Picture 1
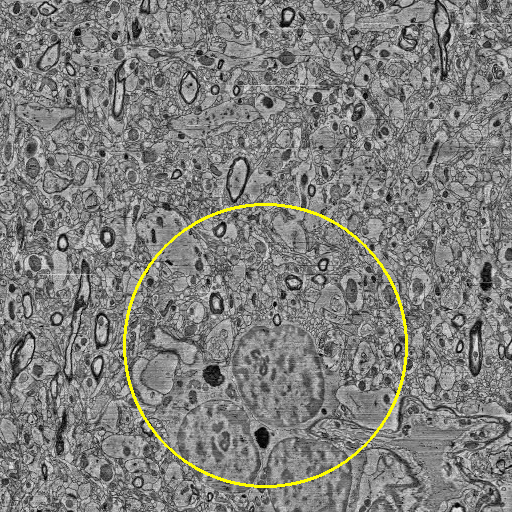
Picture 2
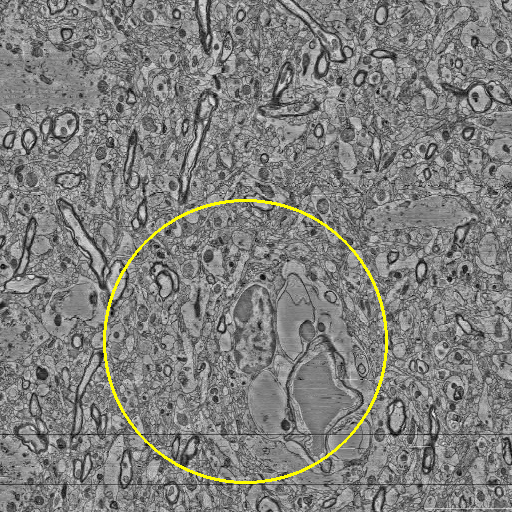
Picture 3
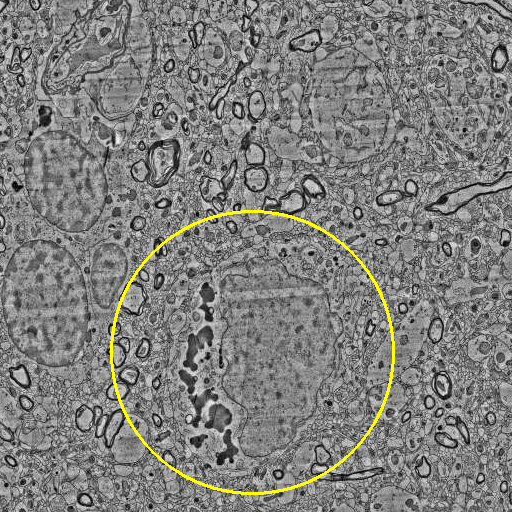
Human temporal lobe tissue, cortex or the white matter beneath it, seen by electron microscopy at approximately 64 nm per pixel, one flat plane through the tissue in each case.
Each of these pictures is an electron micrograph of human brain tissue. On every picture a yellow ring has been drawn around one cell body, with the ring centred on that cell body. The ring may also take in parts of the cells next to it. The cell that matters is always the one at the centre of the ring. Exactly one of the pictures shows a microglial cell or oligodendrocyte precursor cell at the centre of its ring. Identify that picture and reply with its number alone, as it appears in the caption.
2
